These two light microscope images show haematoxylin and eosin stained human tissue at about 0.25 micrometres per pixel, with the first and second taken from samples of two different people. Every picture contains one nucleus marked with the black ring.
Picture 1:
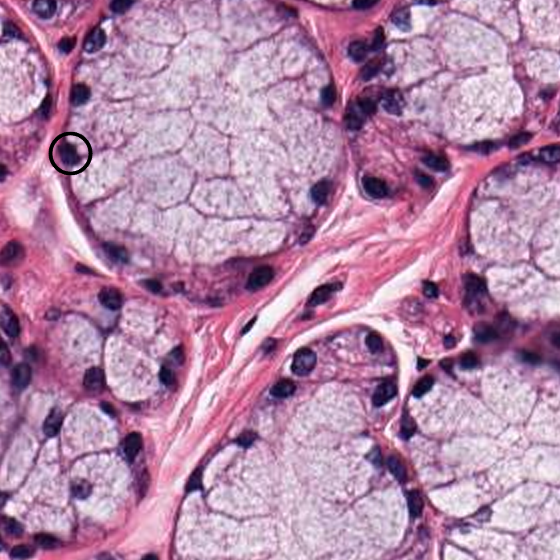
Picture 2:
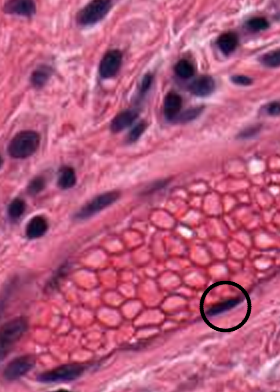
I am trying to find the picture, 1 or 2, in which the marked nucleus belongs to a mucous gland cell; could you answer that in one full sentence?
As for picture 1, its marked nucleus belongs to a mucous gland cell.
